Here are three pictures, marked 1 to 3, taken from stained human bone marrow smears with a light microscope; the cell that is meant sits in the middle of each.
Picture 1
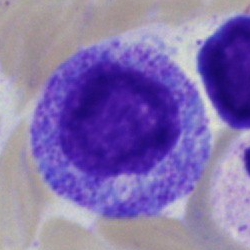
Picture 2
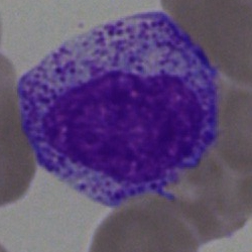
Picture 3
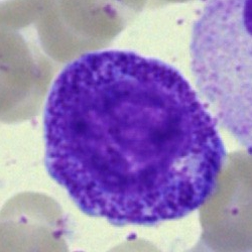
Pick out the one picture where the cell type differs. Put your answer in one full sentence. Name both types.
Picture 2 is the odd one out: it shows a promyelocyte, while the others show myelocytes.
